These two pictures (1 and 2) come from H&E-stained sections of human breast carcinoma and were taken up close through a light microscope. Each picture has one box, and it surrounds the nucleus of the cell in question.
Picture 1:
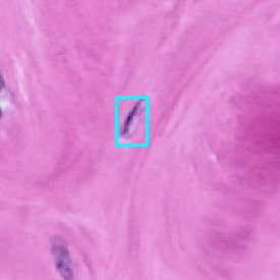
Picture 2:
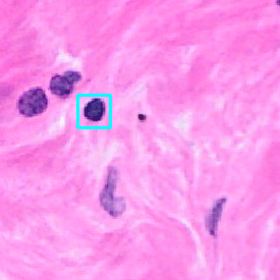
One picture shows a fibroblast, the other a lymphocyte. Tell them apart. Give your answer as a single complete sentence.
The cell in picture 1 is a fibroblast, and the one in picture 2 is a lymphocyte.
